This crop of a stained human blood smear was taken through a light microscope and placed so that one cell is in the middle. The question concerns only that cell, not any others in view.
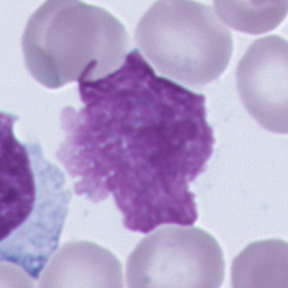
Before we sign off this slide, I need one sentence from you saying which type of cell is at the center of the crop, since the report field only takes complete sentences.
The cell occupying the middle of the crop is a smudge cell.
